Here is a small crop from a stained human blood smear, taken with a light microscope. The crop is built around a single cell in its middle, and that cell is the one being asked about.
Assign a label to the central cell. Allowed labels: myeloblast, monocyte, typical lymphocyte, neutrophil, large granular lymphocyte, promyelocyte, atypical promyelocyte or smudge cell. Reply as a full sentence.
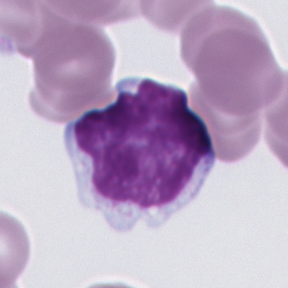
Located at the centre of the crop is a large granular lymphocyte.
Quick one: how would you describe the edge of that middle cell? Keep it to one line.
Irregularity marks the cell border, whether as raggedness or as projections.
